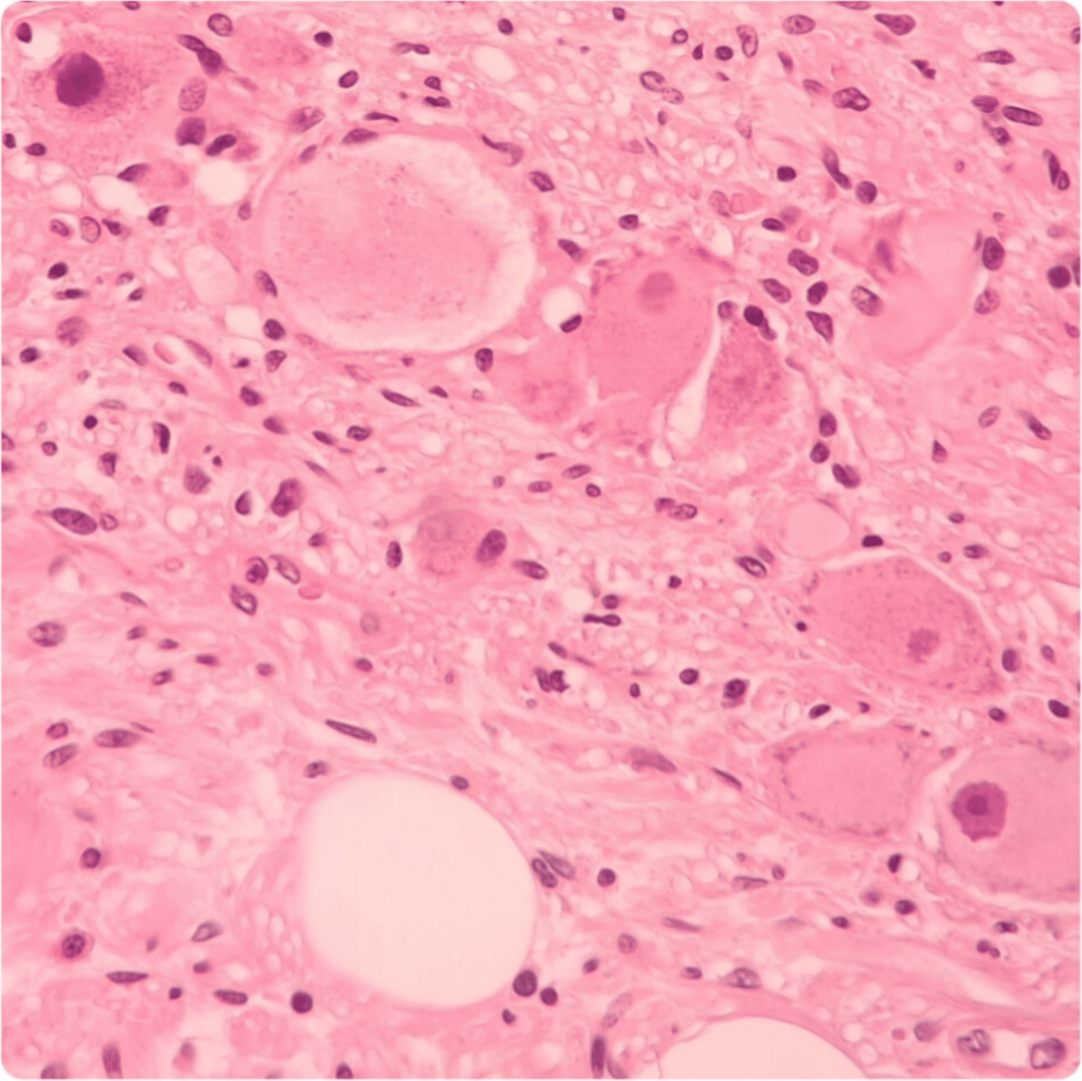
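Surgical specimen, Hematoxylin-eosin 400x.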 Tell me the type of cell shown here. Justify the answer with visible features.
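Ganglion cells. Scattered very large round to polygonal cells with abundant pink cytoplasm. Large cells lie among many small elongated nuclei in a pale fibrillar background.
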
